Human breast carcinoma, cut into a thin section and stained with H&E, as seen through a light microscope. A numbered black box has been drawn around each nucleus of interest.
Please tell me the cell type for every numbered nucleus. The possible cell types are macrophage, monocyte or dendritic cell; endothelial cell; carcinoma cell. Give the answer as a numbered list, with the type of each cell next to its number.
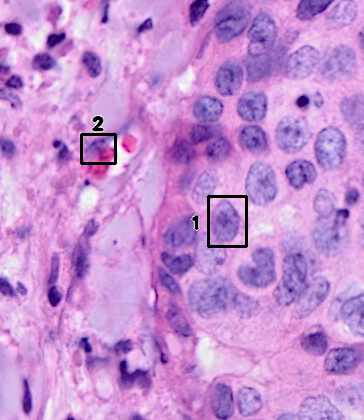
1. carcinoma cell
2. endothelial cell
